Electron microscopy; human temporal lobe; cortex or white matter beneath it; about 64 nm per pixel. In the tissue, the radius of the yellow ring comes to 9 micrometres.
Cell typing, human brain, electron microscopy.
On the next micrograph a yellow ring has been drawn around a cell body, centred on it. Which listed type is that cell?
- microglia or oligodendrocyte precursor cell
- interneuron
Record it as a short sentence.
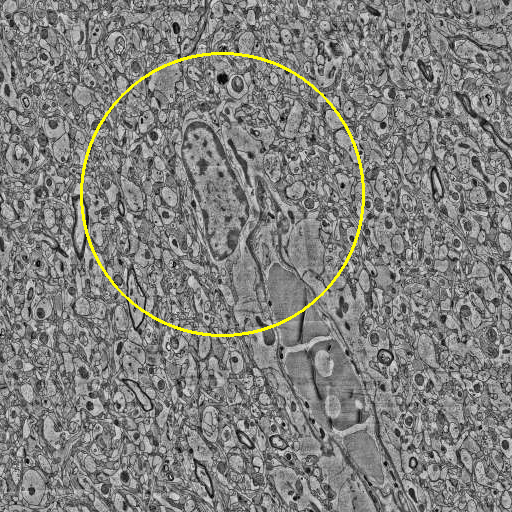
The cell body in the ring's centre belongs to a microglial cell or oligodendrocyte precursor cell.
